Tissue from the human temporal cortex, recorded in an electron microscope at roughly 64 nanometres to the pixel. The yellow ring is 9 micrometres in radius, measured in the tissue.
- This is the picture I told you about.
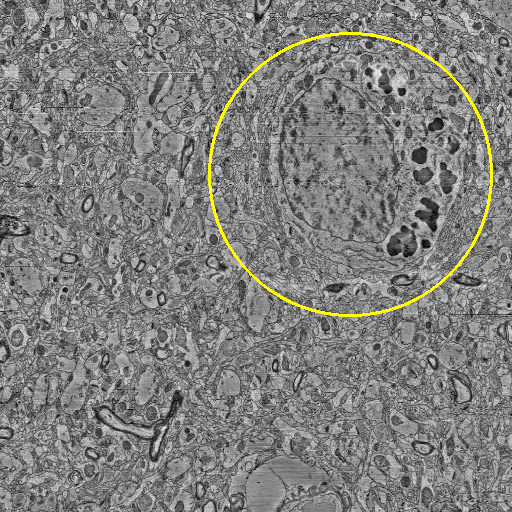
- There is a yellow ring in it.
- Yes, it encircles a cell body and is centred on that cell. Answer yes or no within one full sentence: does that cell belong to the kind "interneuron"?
Yes, that cell, the one the yellow ring is centred on, belongs to this kind.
